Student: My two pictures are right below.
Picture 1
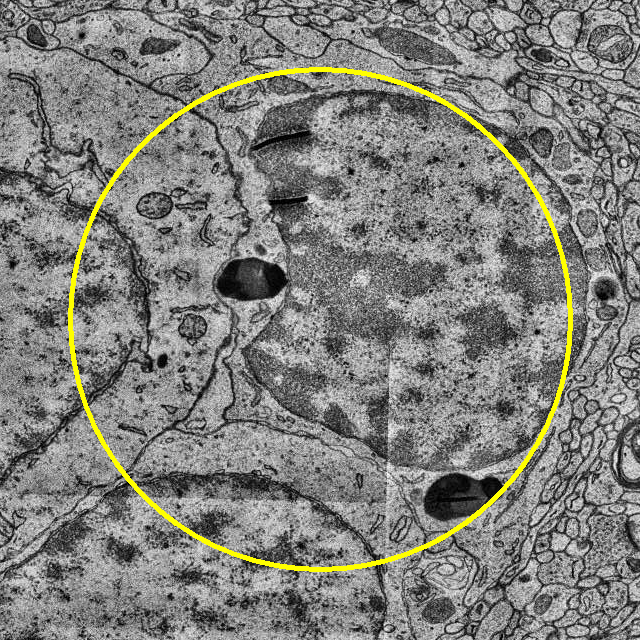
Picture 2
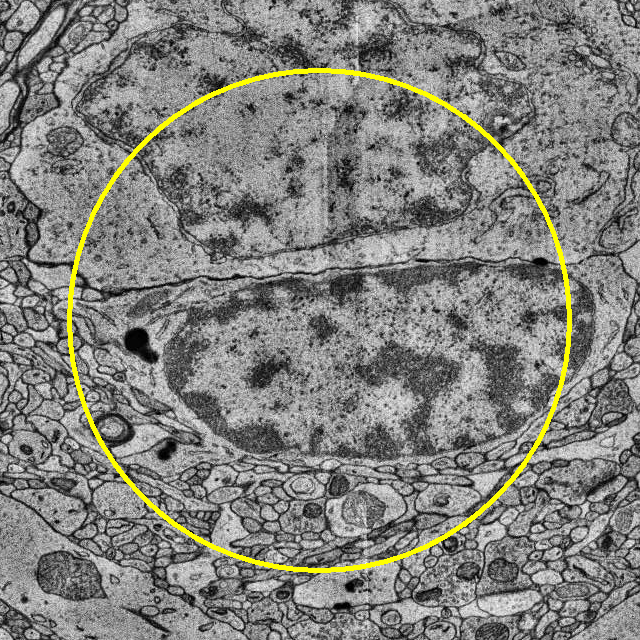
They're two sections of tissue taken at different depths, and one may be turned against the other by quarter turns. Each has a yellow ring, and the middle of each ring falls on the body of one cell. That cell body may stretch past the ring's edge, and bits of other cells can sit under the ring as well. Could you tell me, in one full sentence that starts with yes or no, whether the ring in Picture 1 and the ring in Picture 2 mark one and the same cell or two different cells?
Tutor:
No, two distinct cells are each enclosed by a yellow ring.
